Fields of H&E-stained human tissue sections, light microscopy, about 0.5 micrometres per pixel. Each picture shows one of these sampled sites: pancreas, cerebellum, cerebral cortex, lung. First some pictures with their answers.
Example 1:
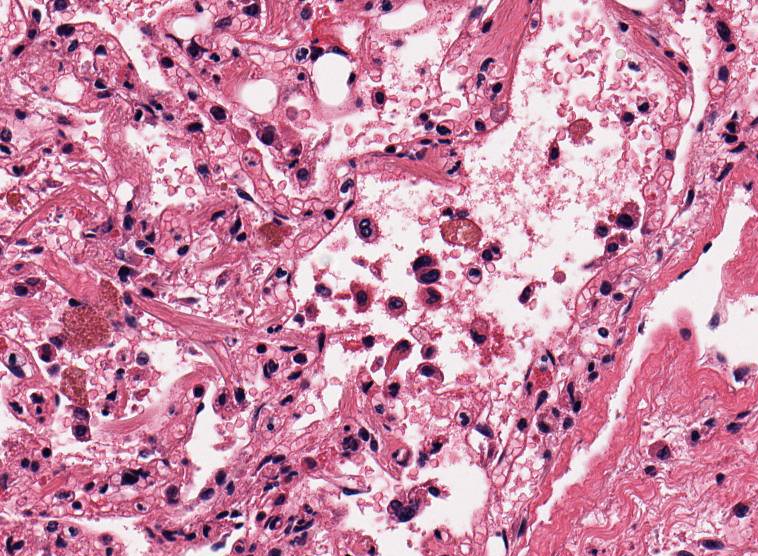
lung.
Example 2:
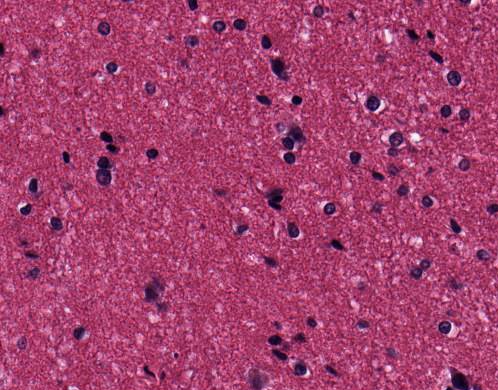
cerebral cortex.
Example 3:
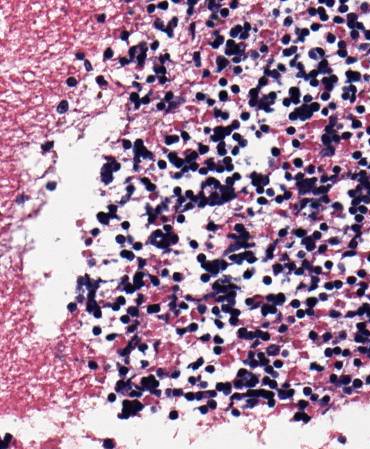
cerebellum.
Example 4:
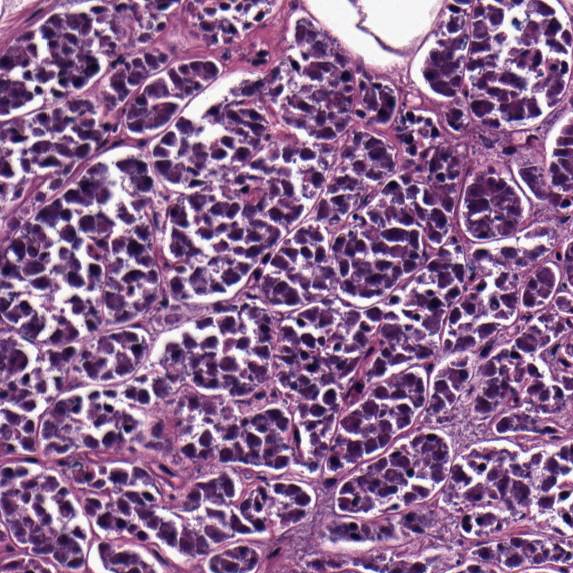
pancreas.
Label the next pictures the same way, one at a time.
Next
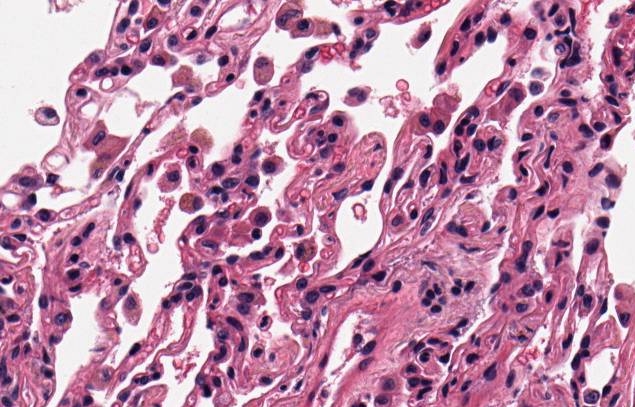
lung.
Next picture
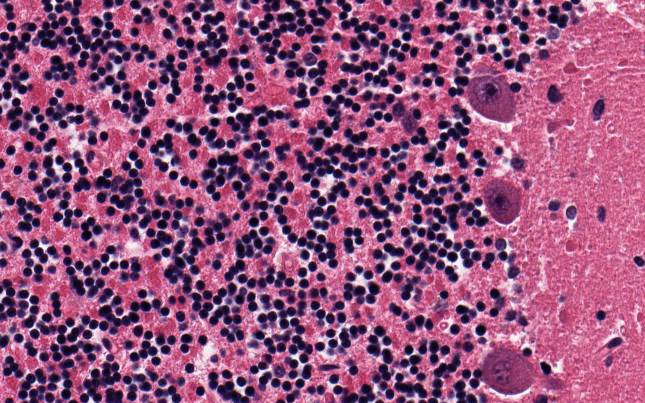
cerebellum.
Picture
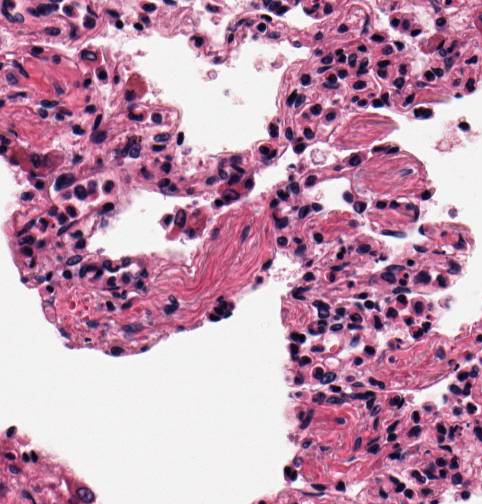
lung.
